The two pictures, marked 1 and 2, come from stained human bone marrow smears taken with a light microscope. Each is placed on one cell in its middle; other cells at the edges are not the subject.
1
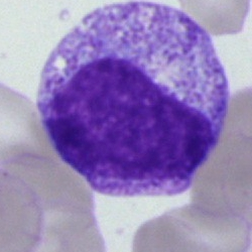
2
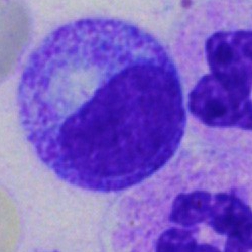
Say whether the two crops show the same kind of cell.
yes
